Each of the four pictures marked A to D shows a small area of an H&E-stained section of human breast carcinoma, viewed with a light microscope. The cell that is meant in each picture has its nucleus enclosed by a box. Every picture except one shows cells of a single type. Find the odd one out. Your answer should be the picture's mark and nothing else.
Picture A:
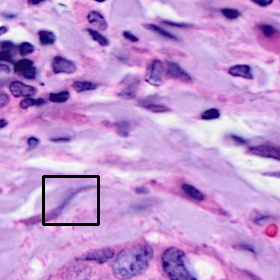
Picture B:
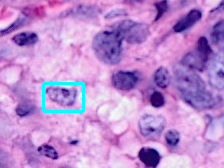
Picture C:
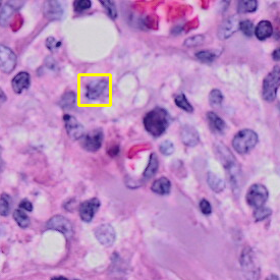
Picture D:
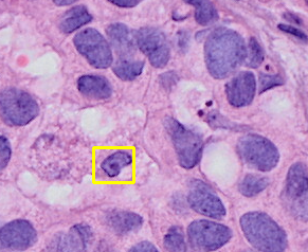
A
